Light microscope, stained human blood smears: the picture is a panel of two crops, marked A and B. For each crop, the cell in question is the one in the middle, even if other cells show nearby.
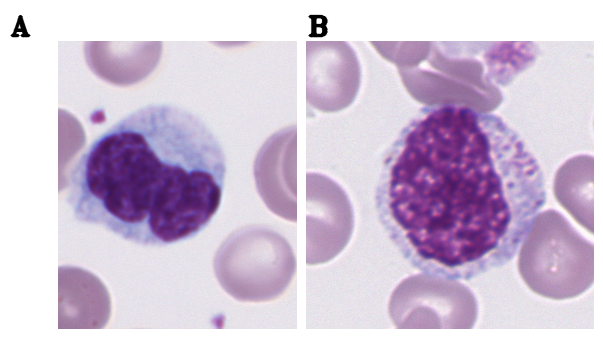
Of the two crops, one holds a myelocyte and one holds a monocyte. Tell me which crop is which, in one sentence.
In crop A the cell is a monocyte, while in crop B it is a myelocyte.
